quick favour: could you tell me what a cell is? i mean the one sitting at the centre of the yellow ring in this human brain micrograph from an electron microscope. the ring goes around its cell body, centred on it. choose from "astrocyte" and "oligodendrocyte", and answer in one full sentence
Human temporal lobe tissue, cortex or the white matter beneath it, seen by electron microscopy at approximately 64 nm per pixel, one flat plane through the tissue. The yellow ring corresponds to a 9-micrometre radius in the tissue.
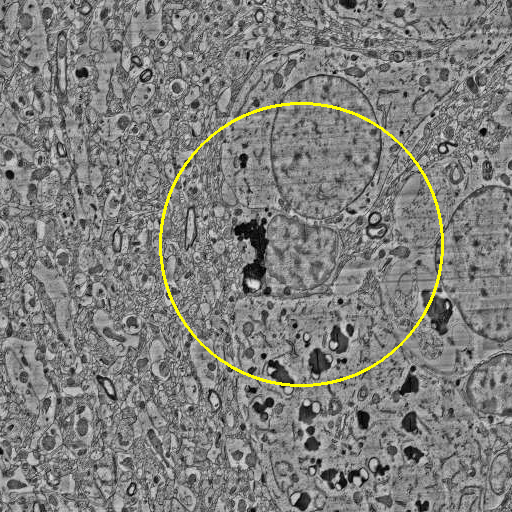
That's an oligodendrocyte, the cell sitting at the centre of the yellow ring.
